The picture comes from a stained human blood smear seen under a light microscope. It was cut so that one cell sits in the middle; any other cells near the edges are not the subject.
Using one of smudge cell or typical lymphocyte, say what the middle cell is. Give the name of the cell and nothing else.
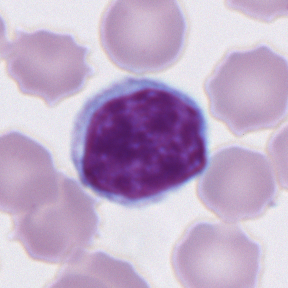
typical lymphocyte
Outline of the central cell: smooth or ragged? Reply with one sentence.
The cell shows a smooth outline that lacks any surface projections.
